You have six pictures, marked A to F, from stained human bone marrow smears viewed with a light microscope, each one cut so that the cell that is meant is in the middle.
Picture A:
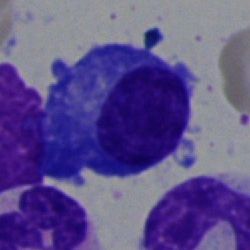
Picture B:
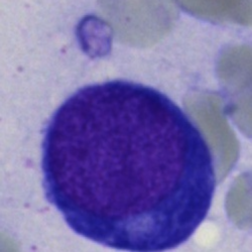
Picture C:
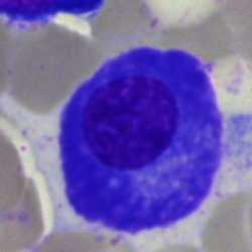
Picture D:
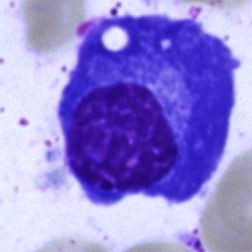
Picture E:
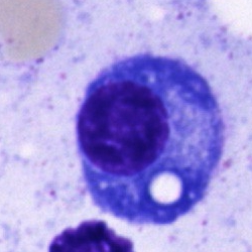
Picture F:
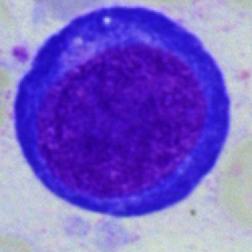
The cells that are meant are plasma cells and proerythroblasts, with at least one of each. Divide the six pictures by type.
A: plasma cell
B: proerythroblast
C: plasma cell
D: plasma cell
E: plasma cell
F: proerythroblast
